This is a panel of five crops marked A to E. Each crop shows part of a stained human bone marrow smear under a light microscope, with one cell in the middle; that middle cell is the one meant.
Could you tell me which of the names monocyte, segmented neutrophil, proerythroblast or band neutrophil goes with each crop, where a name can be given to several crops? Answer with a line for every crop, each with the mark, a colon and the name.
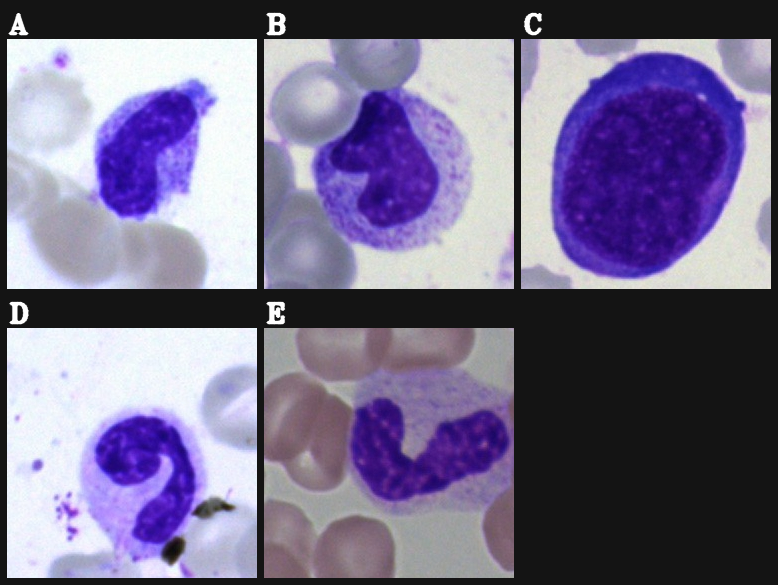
A: band neutrophil
B: band neutrophil
C: proerythroblast
D: segmented neutrophil
E: band neutrophil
